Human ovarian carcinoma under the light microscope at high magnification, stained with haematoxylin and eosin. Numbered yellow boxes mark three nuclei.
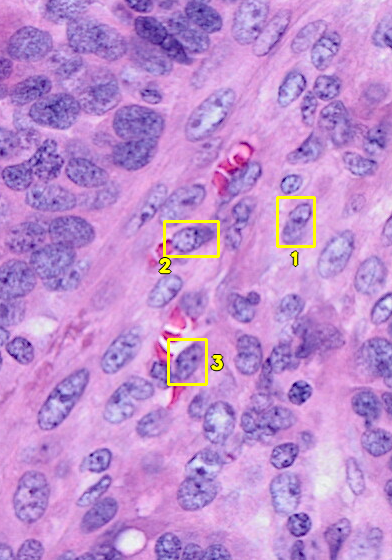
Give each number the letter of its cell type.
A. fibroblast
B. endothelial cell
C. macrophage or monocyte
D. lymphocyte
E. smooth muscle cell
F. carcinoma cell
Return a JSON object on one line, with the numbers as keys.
{"1": "A", "2": "B", "3": "B"}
